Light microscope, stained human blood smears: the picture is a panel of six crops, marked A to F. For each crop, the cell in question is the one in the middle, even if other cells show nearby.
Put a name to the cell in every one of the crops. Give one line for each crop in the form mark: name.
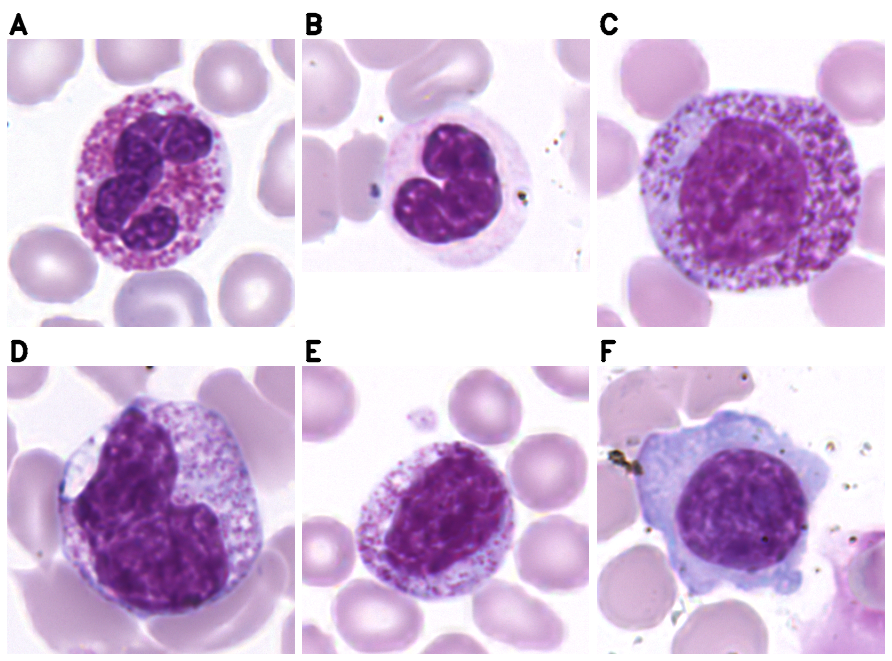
A: eosinophil
B: band neutrophil
C: myelocyte
D: myelocyte
E: metamyelocyte
F: plasma cell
